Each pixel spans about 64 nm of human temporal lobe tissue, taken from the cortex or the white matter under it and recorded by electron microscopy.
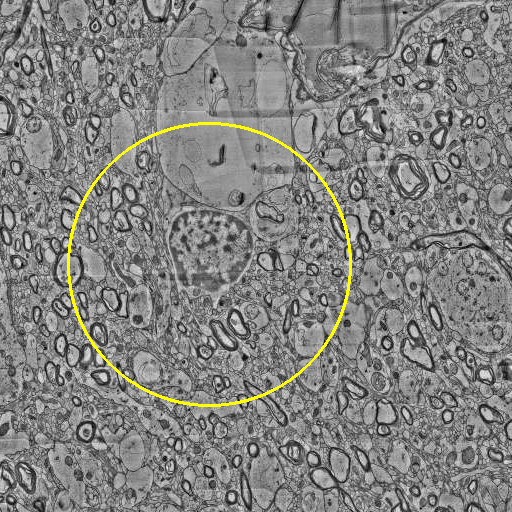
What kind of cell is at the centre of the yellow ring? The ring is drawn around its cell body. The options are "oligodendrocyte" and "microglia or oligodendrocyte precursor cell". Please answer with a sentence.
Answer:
The yellow ring marks the cell body of a microglial cell or oligodendrocyte precursor cell.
